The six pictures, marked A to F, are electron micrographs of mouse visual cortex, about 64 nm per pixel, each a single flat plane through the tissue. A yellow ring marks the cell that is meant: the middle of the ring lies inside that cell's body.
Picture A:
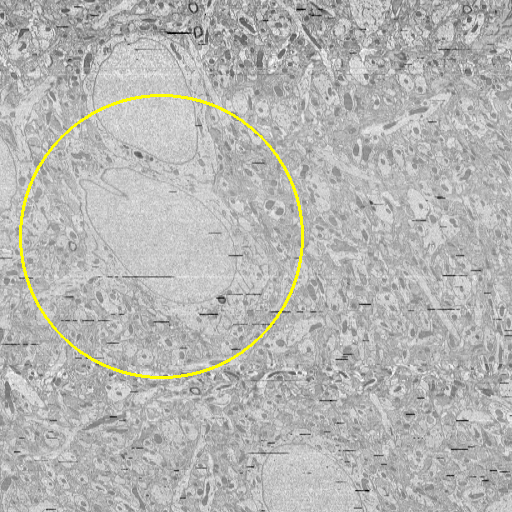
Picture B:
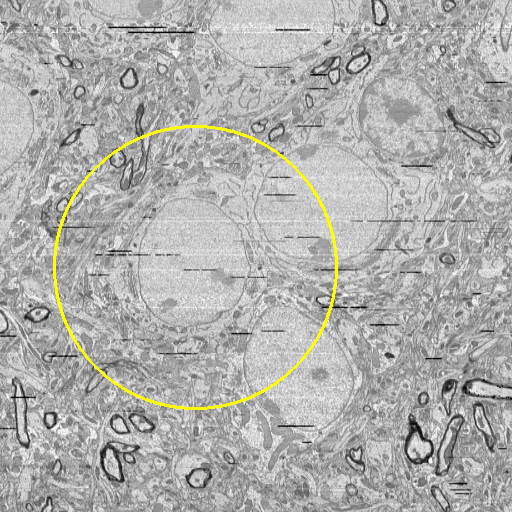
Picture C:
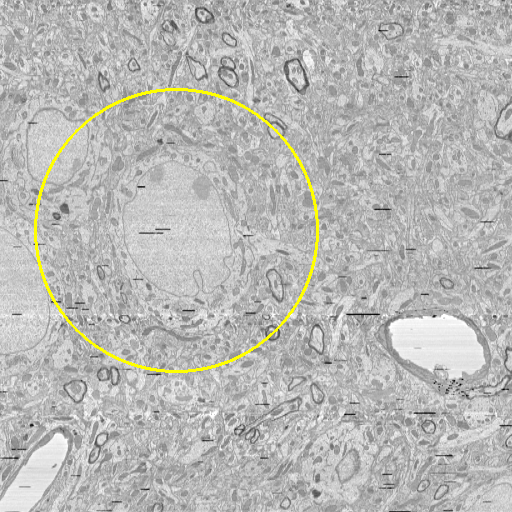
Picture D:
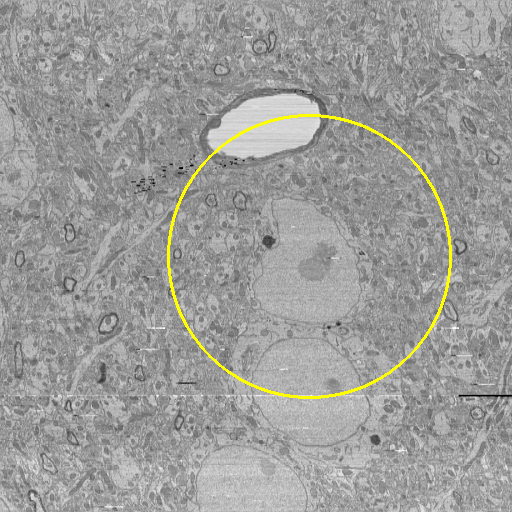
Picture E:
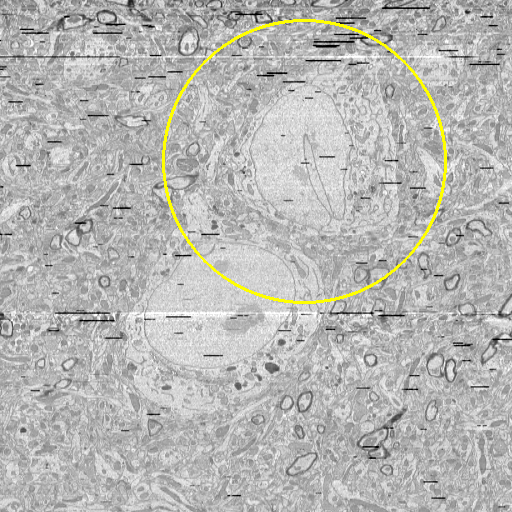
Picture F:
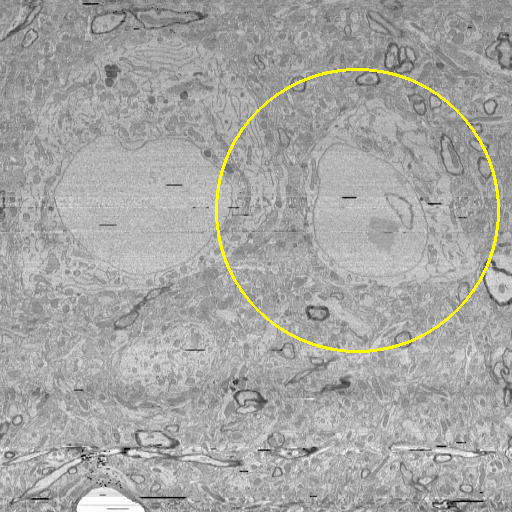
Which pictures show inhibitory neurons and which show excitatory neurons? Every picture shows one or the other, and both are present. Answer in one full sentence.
Pictures D and E show inhibitory neurons; pictures A, B, C and F show excitatory neurons.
